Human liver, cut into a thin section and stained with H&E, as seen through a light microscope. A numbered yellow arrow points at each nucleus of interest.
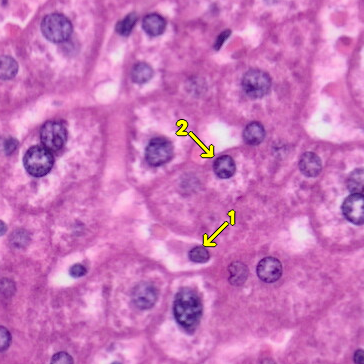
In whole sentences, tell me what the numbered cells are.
Cell 1 is a Kupffer cell and cell 2 is a hepatocyte.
